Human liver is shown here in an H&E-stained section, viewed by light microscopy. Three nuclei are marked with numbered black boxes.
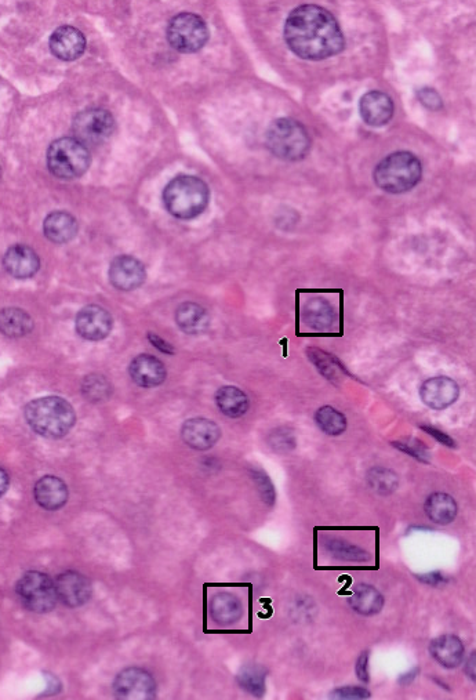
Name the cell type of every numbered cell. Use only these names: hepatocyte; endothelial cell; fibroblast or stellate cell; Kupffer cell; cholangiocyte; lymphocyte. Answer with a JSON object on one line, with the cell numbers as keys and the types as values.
{"1": "hepatocyte", "2": "fibroblast or stellate cell", "3": "hepatocyte"}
